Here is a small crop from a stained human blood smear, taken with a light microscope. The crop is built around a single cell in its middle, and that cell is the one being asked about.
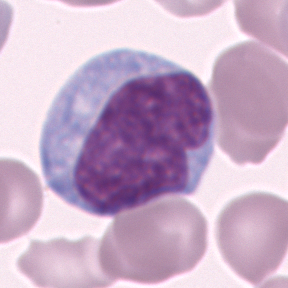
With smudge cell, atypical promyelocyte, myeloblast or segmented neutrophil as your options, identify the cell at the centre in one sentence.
This particular crop is centered on a myeloblast.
